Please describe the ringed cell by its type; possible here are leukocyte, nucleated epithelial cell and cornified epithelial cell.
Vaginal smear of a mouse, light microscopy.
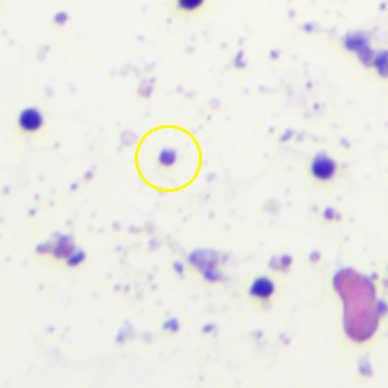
The yellow ring marks a leukocyte.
